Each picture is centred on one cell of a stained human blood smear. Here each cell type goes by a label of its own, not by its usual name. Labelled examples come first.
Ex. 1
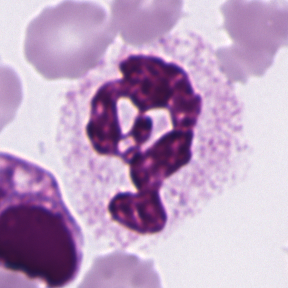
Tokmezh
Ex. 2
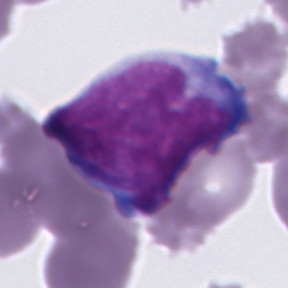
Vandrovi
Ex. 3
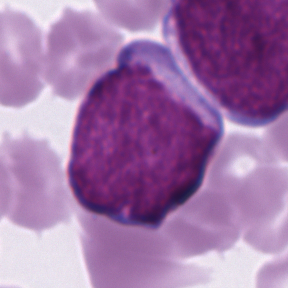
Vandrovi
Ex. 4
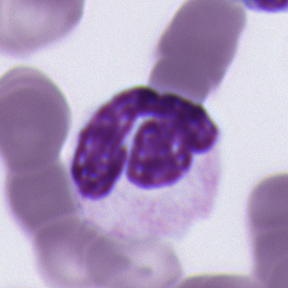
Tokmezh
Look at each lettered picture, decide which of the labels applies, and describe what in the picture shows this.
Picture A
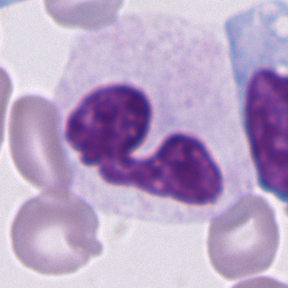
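Tokmezh: The cytoplasm is abundant and covers more of the cell than the nucleus does.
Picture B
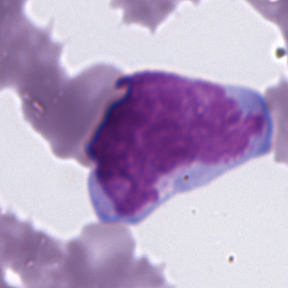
Vandrovi: The nucleus fills most of the cell.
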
